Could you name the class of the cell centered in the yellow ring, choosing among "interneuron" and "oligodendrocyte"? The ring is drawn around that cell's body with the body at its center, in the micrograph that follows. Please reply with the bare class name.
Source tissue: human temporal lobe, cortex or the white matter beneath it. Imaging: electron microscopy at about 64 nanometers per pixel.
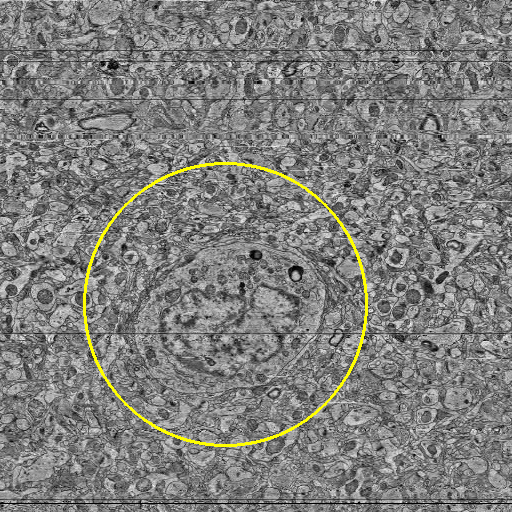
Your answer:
interneuron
